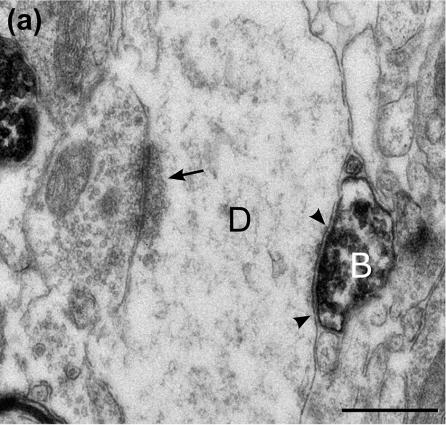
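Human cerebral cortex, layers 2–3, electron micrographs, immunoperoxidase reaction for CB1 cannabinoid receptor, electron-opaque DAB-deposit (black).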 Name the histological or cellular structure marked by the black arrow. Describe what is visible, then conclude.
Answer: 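Type‐1 synapse. The arrow points to a junction with a thick dark postsynaptic density. The presynaptic profile at the arrow is unlabelled, not filled with black deposit.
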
